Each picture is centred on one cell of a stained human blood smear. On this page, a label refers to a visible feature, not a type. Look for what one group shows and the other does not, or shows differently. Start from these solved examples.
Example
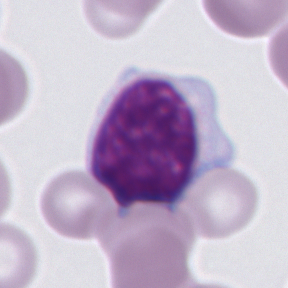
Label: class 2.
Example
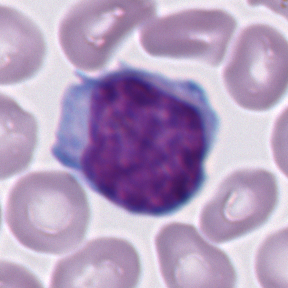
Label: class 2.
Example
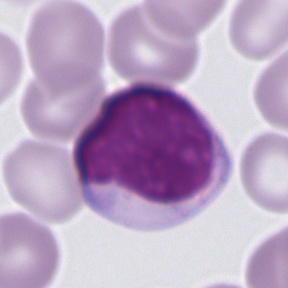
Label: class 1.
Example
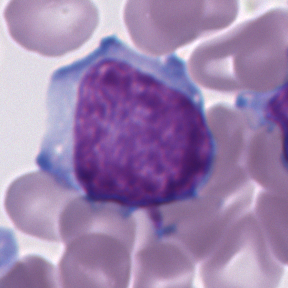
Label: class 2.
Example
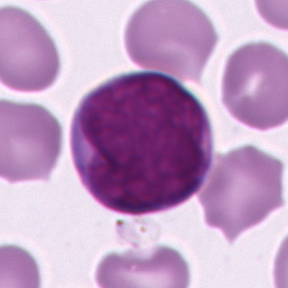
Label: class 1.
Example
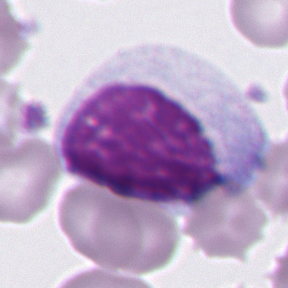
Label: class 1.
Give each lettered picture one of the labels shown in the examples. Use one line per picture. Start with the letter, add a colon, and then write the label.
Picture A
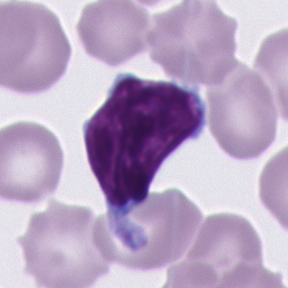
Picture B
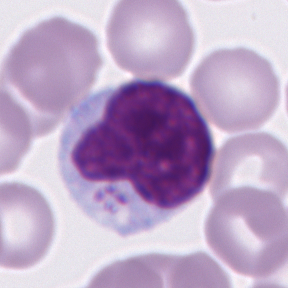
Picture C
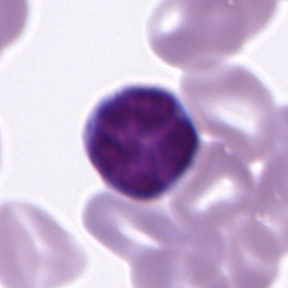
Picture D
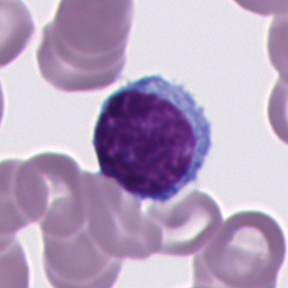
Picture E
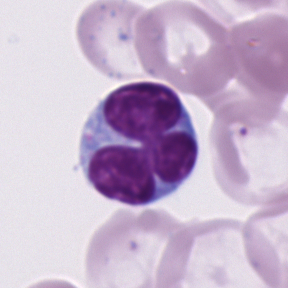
A: class 2.
B: class 1.
C: class 1.
D: class 2.
E: class 1.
